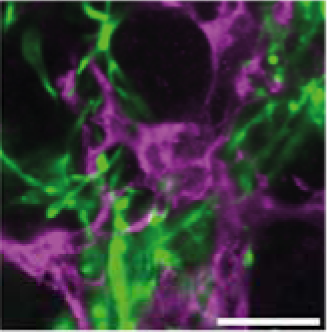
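Green long, slender, thread-like fibres run in several directions, some grouped into loose bundles, mostly unbranched. Magenta broader cords branch and join into an irregular mesh with rounded dark openings between them; one large round dark space sits near the top. The green fibres lie alongside and between the magenta cords rather than overlapping them, so the two elements occupy separate but neighbouring spaces. Little overlap of the two colours is seen.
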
